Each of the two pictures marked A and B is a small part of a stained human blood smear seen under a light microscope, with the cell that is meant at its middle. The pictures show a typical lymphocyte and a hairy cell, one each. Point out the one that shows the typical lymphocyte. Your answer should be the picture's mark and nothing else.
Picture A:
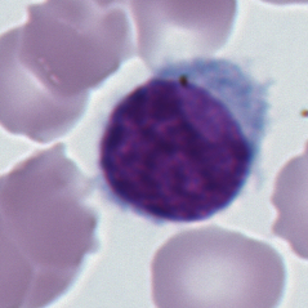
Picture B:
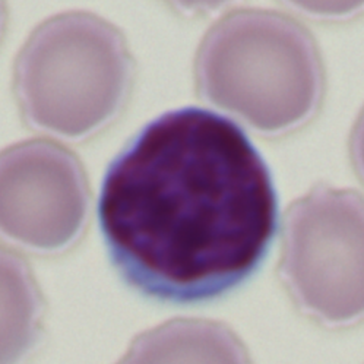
B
